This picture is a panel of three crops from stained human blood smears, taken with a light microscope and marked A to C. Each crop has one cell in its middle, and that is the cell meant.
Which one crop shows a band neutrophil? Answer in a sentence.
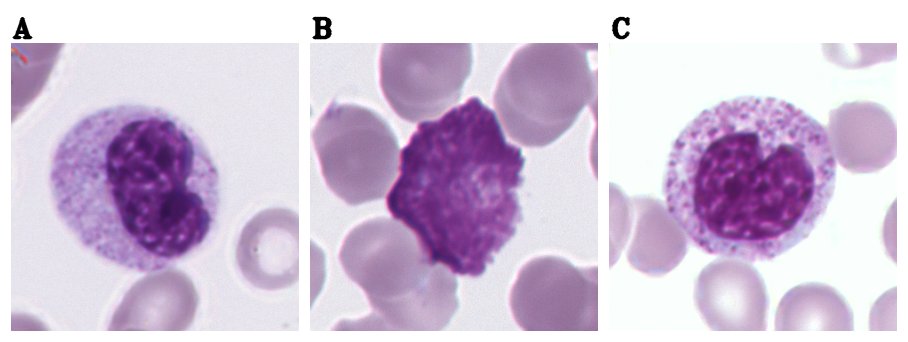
It is the cell in crop C that is a band neutrophil.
